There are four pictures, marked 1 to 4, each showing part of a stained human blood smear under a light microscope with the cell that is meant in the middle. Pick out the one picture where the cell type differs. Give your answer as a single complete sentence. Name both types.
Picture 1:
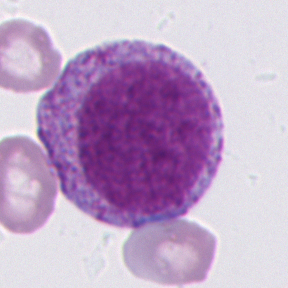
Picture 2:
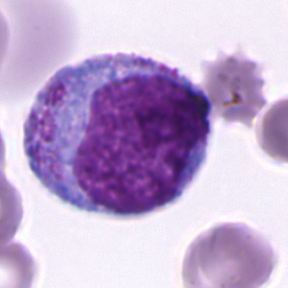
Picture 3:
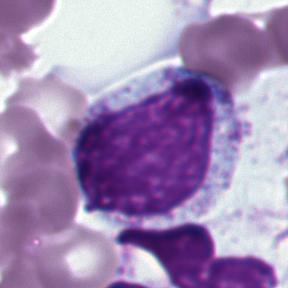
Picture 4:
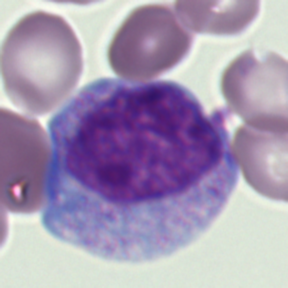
Unlike the rest, which show promyelocytes, picture 3 shows a myelocyte.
